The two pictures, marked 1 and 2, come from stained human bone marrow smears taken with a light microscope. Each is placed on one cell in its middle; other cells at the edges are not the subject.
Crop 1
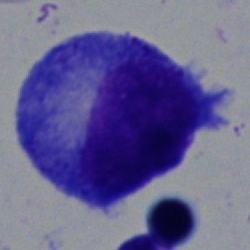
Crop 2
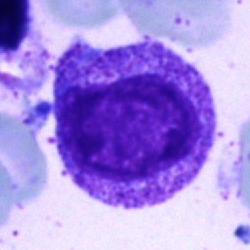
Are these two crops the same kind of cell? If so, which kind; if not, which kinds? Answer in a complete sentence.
Yes, promyelocytes are shown in both crops.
